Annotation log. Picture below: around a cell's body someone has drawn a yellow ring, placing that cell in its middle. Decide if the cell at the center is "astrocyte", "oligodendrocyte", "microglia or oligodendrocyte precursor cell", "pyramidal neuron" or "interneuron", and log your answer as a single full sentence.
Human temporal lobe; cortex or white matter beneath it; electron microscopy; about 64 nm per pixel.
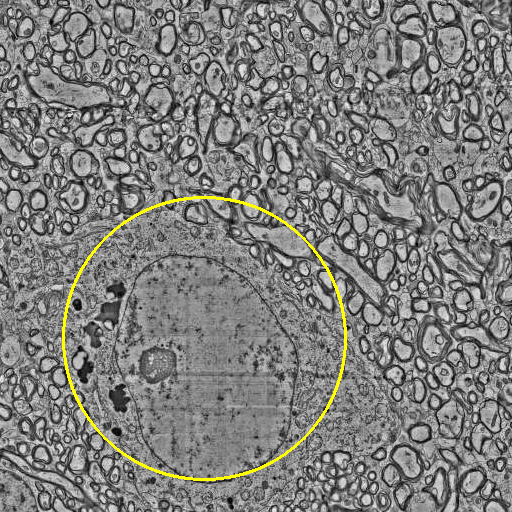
My entry records a pyramidal neuron as the cell sitting at the center of the yellow ring.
